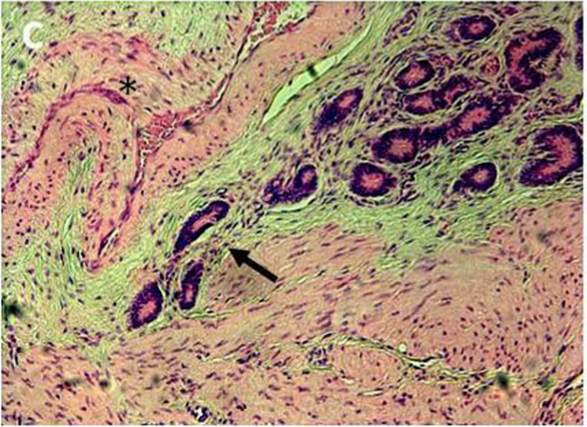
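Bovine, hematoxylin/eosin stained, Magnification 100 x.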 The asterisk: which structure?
Blood vessels.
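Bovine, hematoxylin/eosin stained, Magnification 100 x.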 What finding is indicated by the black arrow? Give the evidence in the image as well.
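Uterine glands penetrating myometrium. The arrow points to small gland profiles with dark purple epithelium. The glands sit in a narrow band of stroma reaching between bundles of spindle-shaped muscle cells.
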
